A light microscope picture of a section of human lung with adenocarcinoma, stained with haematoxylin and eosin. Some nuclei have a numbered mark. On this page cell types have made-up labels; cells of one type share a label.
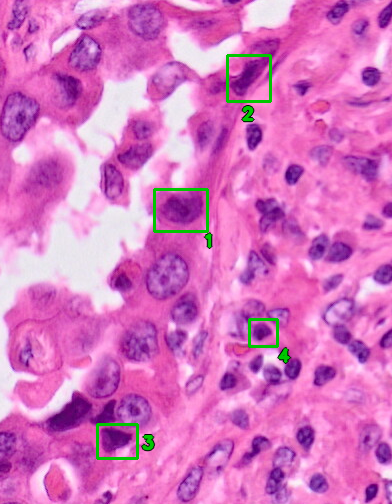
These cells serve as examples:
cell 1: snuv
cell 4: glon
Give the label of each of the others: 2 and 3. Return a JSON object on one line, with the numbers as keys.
{"2": "snuv", "3": "snuv"}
